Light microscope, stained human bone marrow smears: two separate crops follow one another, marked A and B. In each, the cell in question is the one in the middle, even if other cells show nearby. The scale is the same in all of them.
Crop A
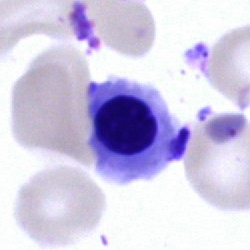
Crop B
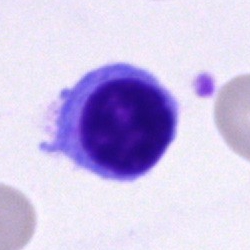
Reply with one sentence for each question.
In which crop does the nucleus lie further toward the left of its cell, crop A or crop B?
The nucleus in crop A lies further toward the left of its cell.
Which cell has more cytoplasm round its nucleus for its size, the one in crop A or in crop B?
In crop A the nucleus takes up the smaller part of its cell.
